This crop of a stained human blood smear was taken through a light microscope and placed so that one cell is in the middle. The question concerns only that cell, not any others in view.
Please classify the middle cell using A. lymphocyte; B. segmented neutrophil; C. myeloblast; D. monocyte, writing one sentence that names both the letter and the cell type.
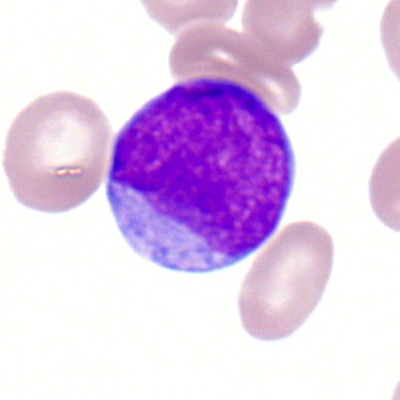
In this crop the middle cell is a myeloblast, so option C is the correct answer.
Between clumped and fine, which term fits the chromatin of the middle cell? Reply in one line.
Its chromatin is finely dispersed rather than coarsely clumped.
